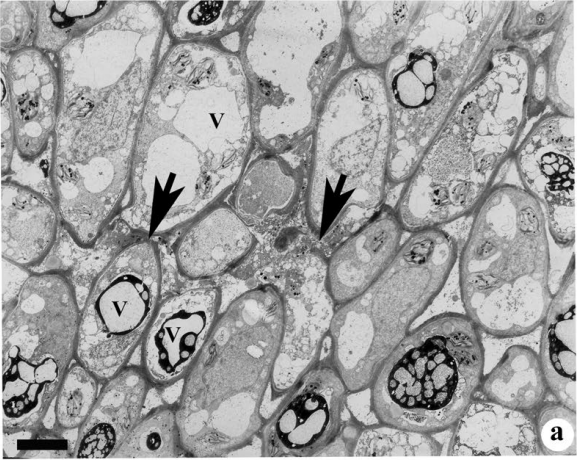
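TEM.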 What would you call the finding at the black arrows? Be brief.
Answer: degradation of the cell walls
